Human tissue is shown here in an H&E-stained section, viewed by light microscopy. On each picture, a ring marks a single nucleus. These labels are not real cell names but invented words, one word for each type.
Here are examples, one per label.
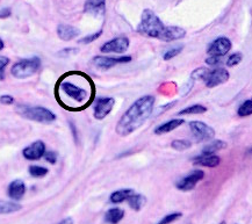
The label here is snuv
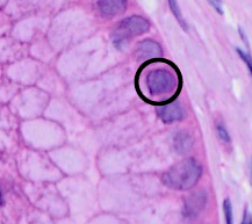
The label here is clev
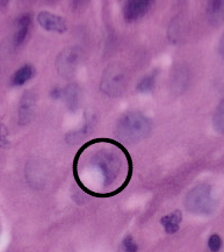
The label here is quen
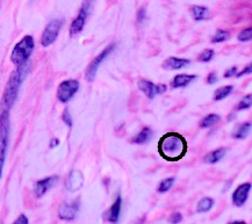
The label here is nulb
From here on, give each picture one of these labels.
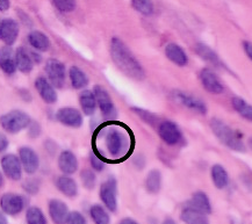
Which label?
snuv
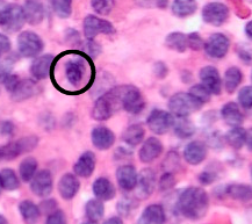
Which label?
snuv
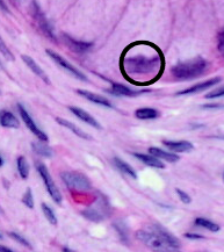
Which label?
clev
